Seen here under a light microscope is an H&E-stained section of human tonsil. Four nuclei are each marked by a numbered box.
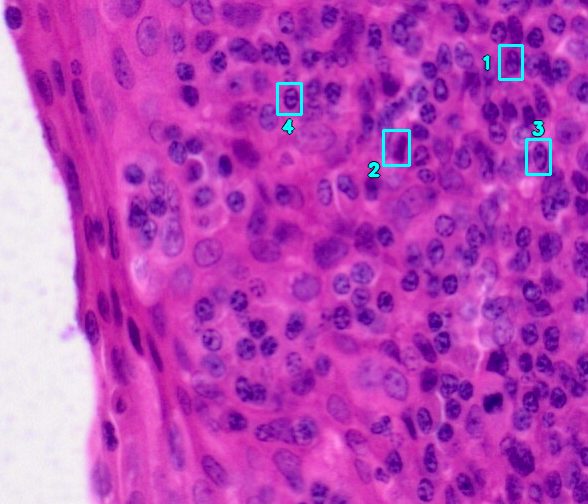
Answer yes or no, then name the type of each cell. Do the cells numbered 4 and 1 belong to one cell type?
Yes, cells 4 and 1 fall into the same group, both being plasma cells.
